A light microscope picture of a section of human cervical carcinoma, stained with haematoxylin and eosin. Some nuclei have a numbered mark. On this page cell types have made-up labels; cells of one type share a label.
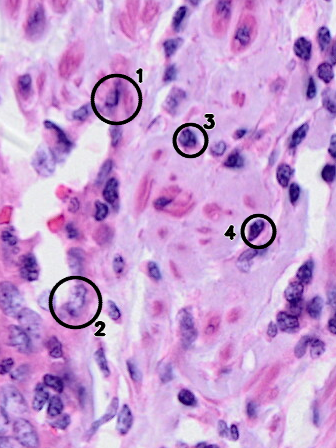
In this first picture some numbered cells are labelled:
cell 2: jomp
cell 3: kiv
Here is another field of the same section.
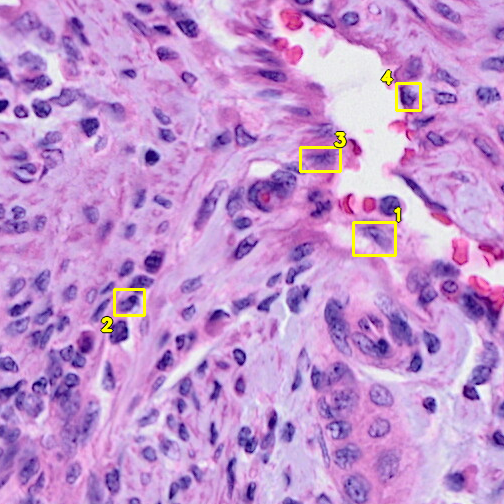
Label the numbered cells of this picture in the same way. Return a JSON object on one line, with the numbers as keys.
{"1": "jomp", "2": "kiv", "3": "jomp", "4": "jomp"}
